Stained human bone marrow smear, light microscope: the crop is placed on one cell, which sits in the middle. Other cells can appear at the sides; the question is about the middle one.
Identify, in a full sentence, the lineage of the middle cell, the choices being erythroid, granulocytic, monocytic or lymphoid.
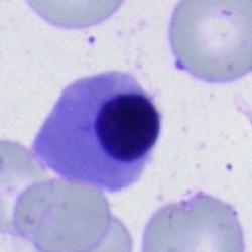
The cell in the middle is allocated to the erythroid lineage.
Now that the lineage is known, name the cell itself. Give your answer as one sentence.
The central element of this crop is a cell, namely an erythroblast.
